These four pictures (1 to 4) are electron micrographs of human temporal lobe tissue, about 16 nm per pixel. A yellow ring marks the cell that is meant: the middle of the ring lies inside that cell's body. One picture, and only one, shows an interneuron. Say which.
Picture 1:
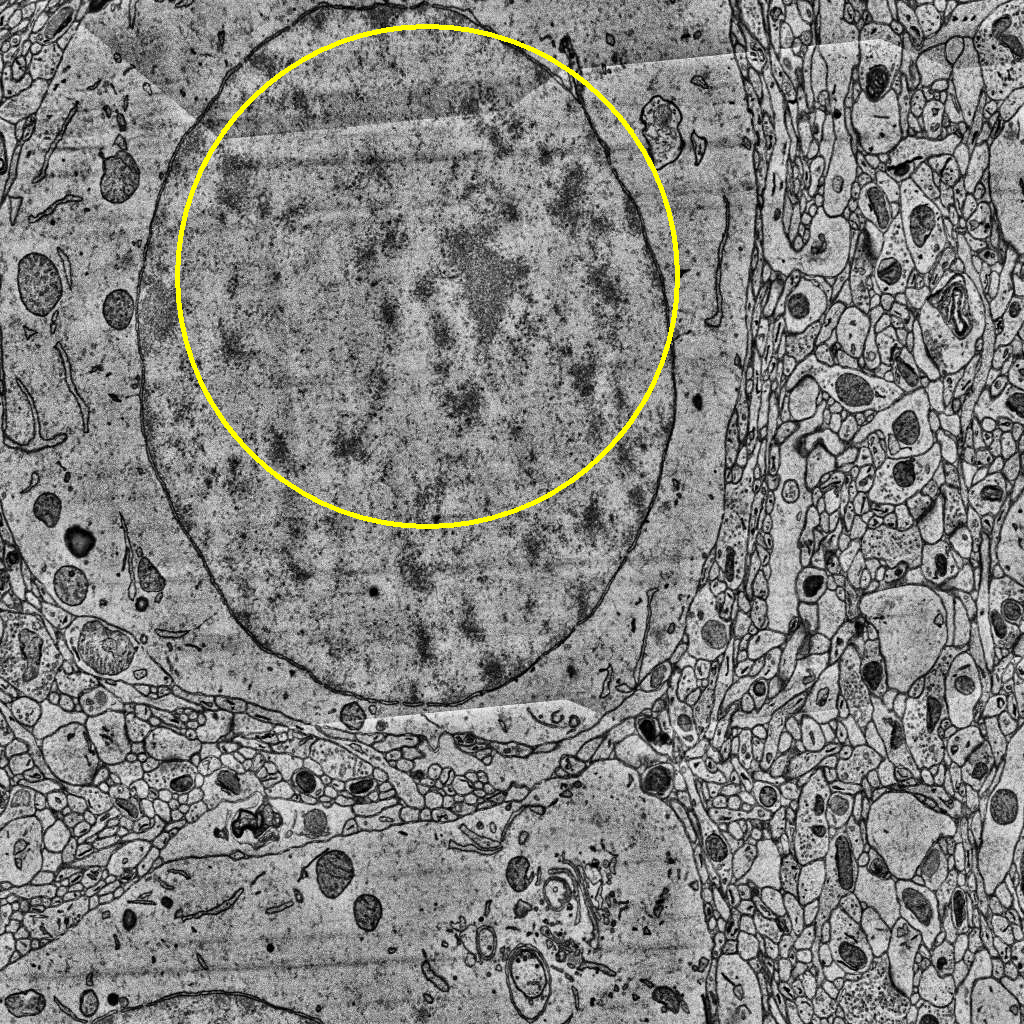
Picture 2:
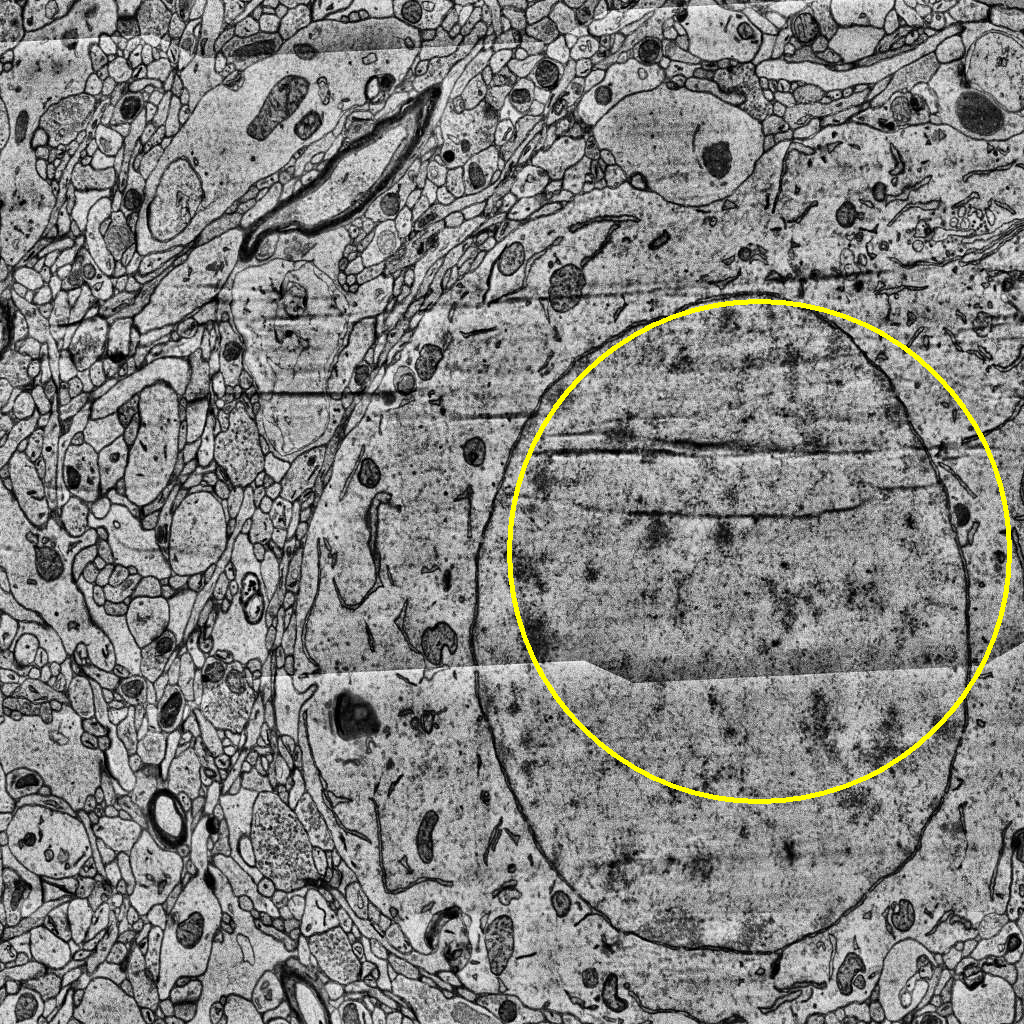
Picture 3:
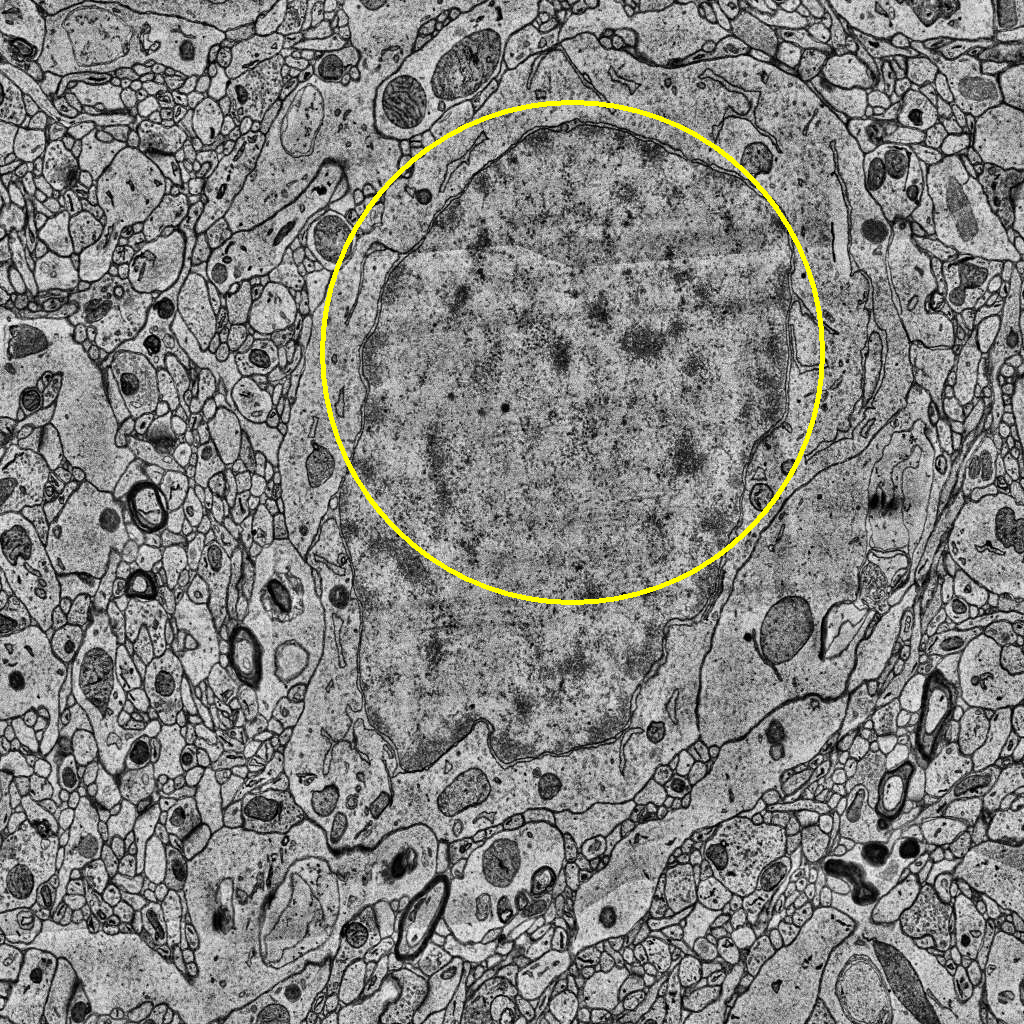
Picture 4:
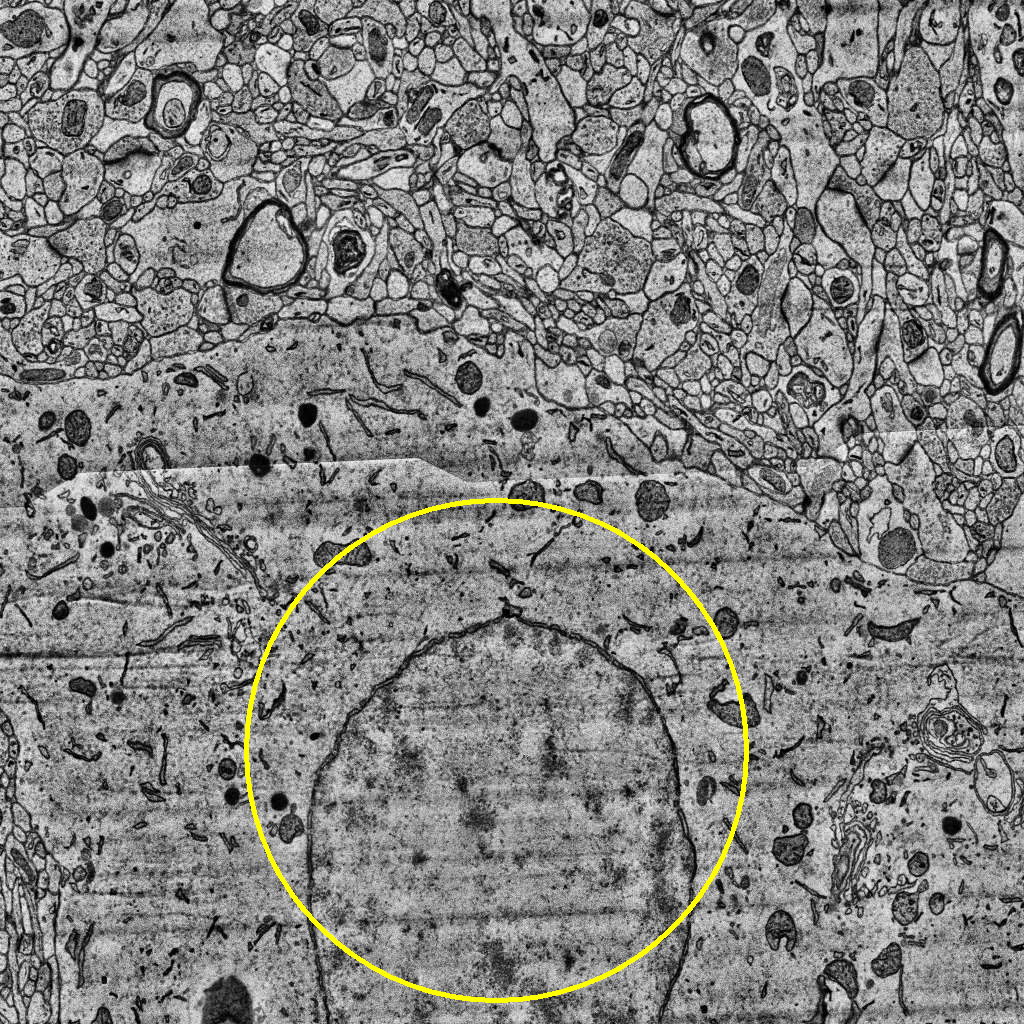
The picture with the interneuron is 3.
